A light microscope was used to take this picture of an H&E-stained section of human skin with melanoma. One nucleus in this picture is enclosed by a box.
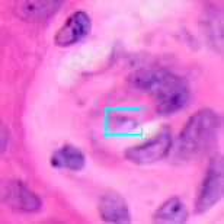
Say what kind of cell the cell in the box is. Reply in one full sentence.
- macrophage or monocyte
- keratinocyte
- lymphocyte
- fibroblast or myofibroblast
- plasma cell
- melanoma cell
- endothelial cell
Just put down that the cell in the box is an endothelial cell.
